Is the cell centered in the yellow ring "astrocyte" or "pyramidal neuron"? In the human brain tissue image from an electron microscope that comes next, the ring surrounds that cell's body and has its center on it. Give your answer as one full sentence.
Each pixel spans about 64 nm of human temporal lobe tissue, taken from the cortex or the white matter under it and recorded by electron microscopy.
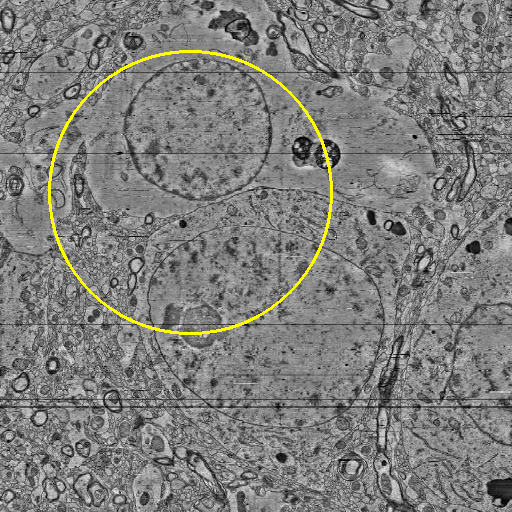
The cell at the center of the yellow ring is an astrocyte in the micrograph.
